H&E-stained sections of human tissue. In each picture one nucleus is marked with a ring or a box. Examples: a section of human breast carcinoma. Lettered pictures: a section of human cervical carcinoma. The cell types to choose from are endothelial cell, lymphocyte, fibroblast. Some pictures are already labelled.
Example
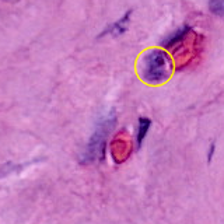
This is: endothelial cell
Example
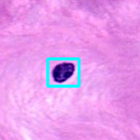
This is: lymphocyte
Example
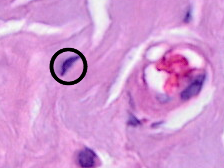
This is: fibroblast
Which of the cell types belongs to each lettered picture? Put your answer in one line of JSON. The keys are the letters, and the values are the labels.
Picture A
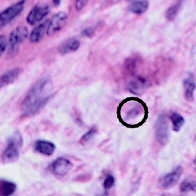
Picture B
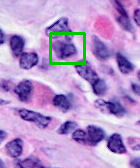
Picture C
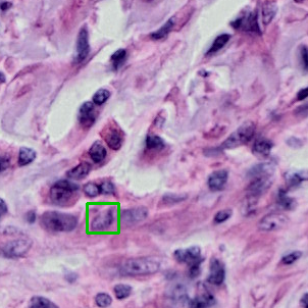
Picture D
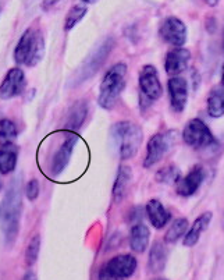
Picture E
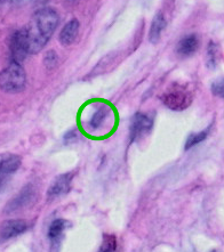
{"A": "fibroblast", "B": "lymphocyte", "C": "endothelial cell", "D": "endothelial cell", "E": "fibroblast"}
